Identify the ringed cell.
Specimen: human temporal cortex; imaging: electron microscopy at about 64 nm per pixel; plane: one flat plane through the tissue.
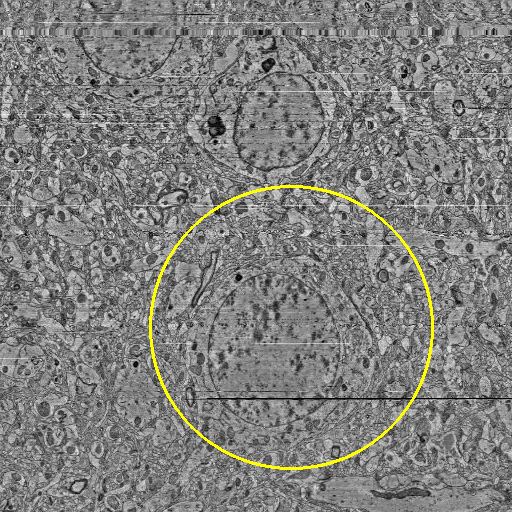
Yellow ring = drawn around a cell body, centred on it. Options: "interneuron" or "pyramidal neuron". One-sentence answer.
What the ring is centred on is a pyramidal neuron.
